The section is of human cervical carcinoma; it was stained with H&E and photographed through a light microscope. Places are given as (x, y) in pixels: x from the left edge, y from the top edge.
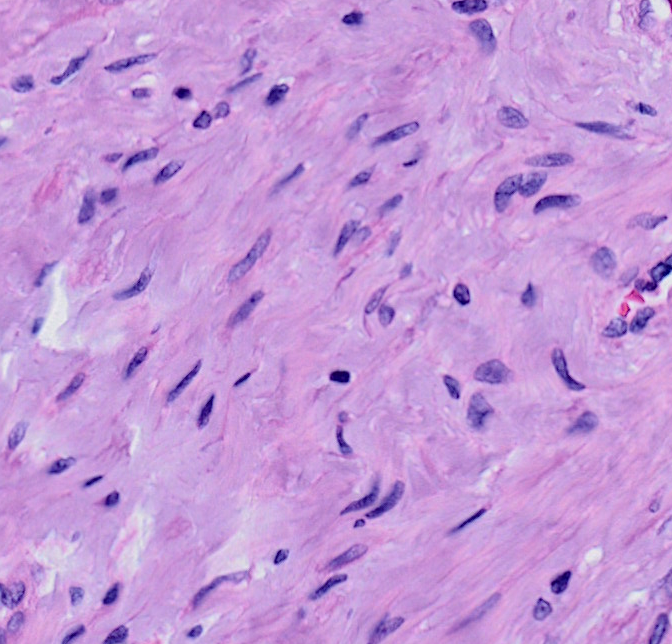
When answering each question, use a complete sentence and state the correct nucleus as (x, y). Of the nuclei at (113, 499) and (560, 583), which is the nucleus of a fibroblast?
Of the two nuclei, it is the one at (113, 499) that lies within a fibroblast.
